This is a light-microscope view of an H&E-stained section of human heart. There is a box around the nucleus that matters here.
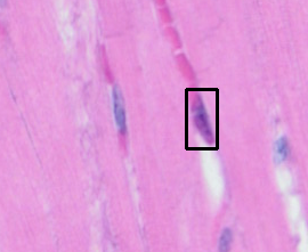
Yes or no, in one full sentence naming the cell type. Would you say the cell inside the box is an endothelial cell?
Yes, the statement that the cell inside the box is an endothelial cell is correct.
